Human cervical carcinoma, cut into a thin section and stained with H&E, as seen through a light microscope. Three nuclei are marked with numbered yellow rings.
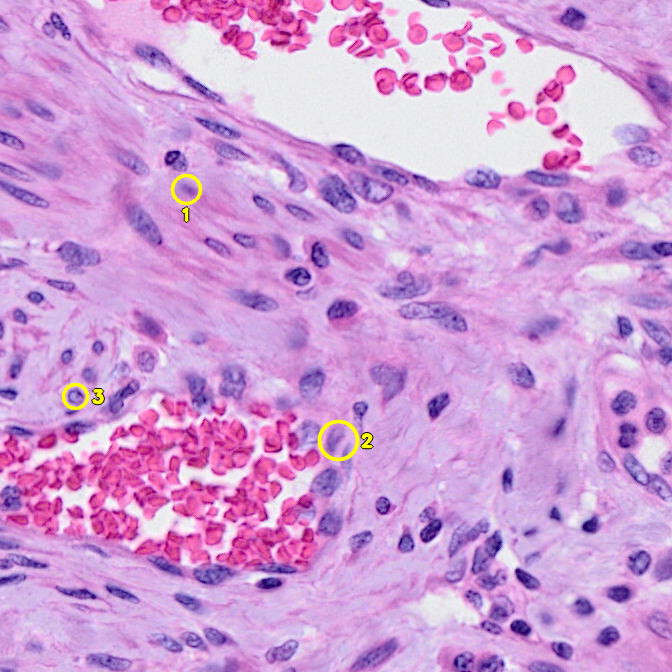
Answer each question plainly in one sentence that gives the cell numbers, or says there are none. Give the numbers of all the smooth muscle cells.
Within the section, cells numbered 1 and 3 are smooth muscle cells.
